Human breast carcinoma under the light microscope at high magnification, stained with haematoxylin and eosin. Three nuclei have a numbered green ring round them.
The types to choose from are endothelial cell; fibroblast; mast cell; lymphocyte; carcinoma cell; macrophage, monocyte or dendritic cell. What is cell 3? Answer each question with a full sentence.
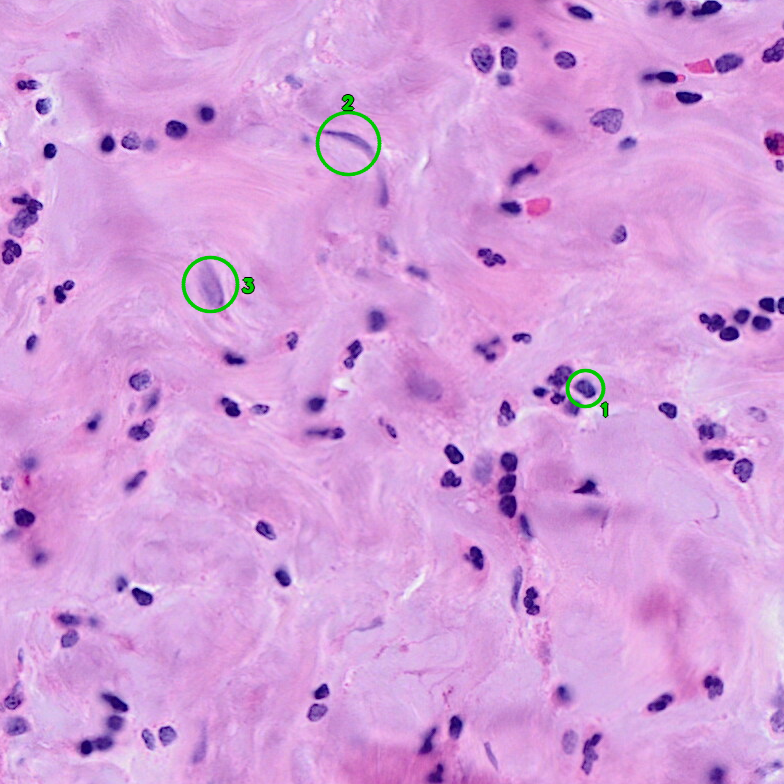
Corresponding to a fibroblast is the cell labelled 3.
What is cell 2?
Nucleus 2 in this section belongs to a fibroblast.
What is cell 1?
As for number 1, that cell is a lymphocyte.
